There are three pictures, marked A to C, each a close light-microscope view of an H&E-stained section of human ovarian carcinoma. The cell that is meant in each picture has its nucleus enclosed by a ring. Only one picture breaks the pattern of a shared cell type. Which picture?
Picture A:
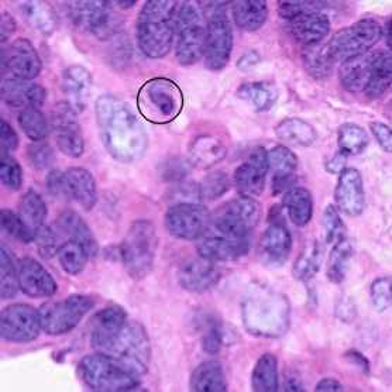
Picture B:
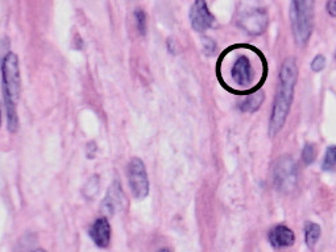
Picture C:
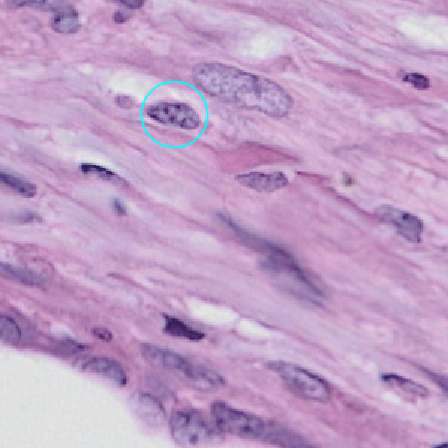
B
